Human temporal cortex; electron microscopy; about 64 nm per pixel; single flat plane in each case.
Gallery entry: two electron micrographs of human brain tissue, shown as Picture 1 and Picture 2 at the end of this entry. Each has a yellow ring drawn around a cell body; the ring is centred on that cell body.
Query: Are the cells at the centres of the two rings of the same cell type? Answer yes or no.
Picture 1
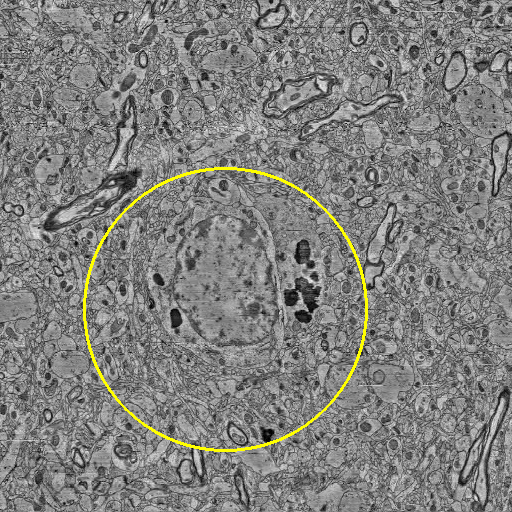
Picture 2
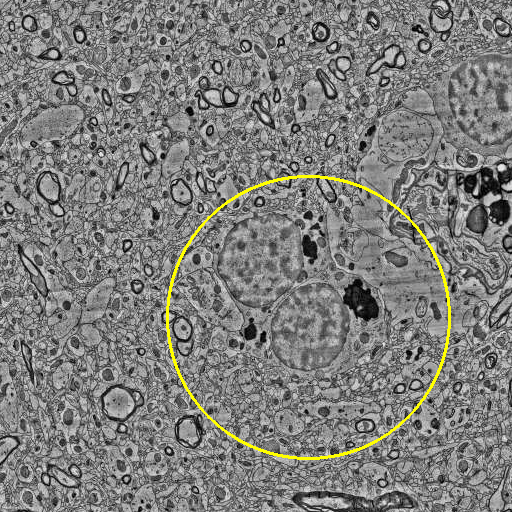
no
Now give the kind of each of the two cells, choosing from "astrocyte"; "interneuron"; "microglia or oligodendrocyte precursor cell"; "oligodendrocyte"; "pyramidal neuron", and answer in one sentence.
The cell in the first picture is an interneuron, and the cell in the second is an oligodendrocyte.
